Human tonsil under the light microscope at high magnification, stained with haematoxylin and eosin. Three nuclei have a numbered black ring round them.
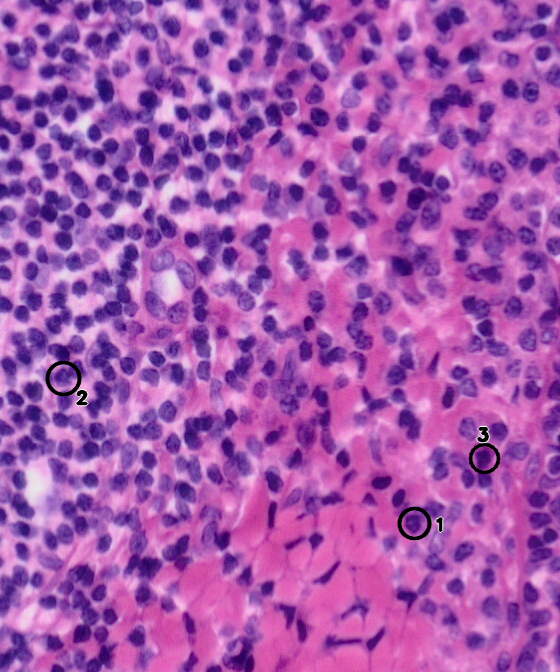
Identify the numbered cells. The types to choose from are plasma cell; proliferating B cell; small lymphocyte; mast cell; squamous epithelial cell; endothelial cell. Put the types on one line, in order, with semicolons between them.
plasma cell; small lymphocyte; plasma cell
